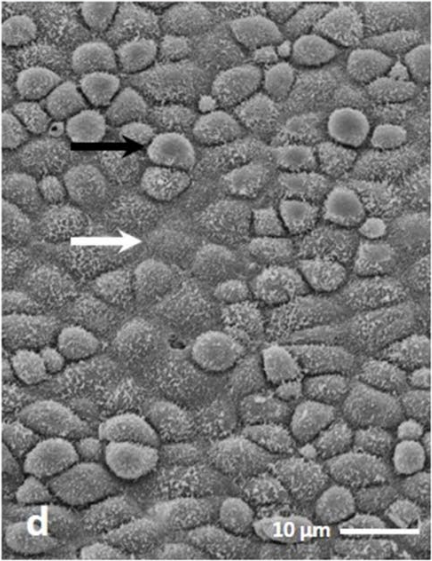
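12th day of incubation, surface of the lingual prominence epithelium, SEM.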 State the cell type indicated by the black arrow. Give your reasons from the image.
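The black arrow points to a dome-shaped cell bulging from the surface. Many such rounded cells stand above a flatter background. On this evidence: convex superficial cells.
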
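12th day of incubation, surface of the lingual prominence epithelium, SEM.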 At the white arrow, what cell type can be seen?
flat superficial cells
